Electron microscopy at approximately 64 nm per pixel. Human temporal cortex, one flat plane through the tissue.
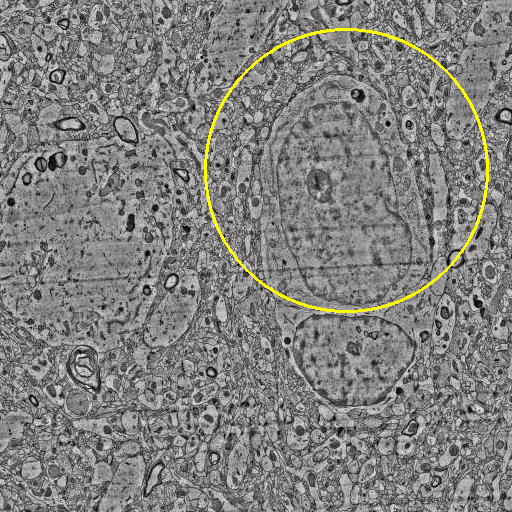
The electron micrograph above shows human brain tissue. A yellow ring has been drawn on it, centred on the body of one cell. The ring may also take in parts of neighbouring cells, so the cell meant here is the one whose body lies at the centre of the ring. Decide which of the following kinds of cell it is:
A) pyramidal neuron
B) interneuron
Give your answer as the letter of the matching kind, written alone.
B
